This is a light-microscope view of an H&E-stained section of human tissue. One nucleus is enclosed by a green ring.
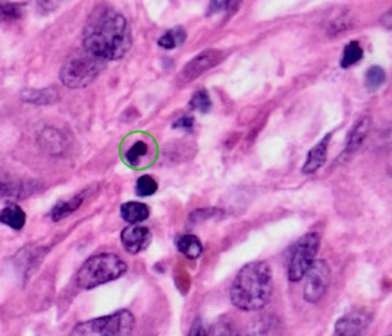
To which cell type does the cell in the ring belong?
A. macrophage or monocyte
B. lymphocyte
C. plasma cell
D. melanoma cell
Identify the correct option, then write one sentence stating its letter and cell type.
In this case the cell in the ring is a lymphocyte, so option B is correct.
